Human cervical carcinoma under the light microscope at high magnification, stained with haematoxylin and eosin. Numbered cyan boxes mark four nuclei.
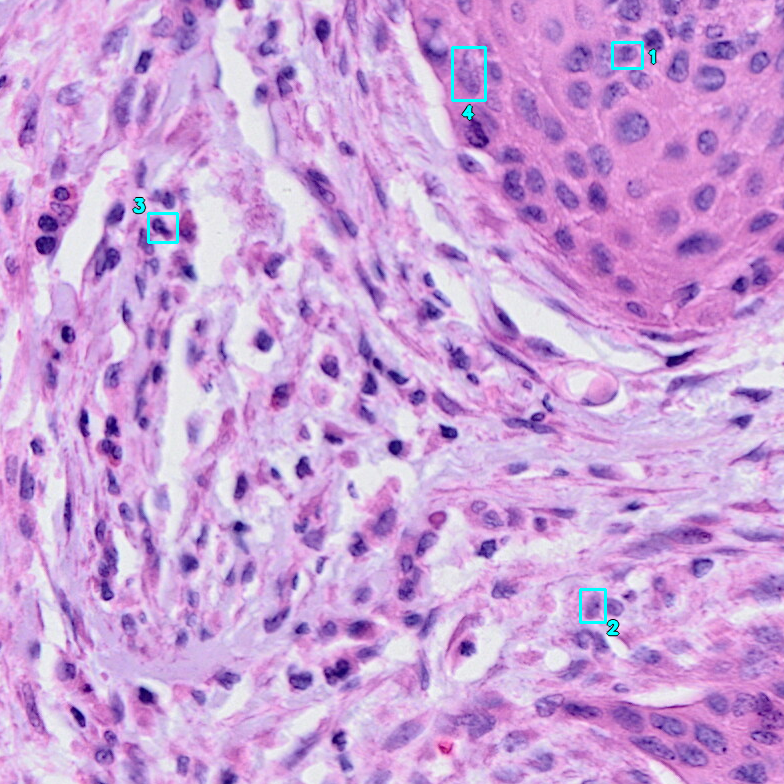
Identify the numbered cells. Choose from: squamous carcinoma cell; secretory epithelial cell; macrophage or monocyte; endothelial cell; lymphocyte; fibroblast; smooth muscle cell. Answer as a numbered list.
1. squamous carcinoma cell
2. fibroblast
3. lymphocyte
4. squamous carcinoma cell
